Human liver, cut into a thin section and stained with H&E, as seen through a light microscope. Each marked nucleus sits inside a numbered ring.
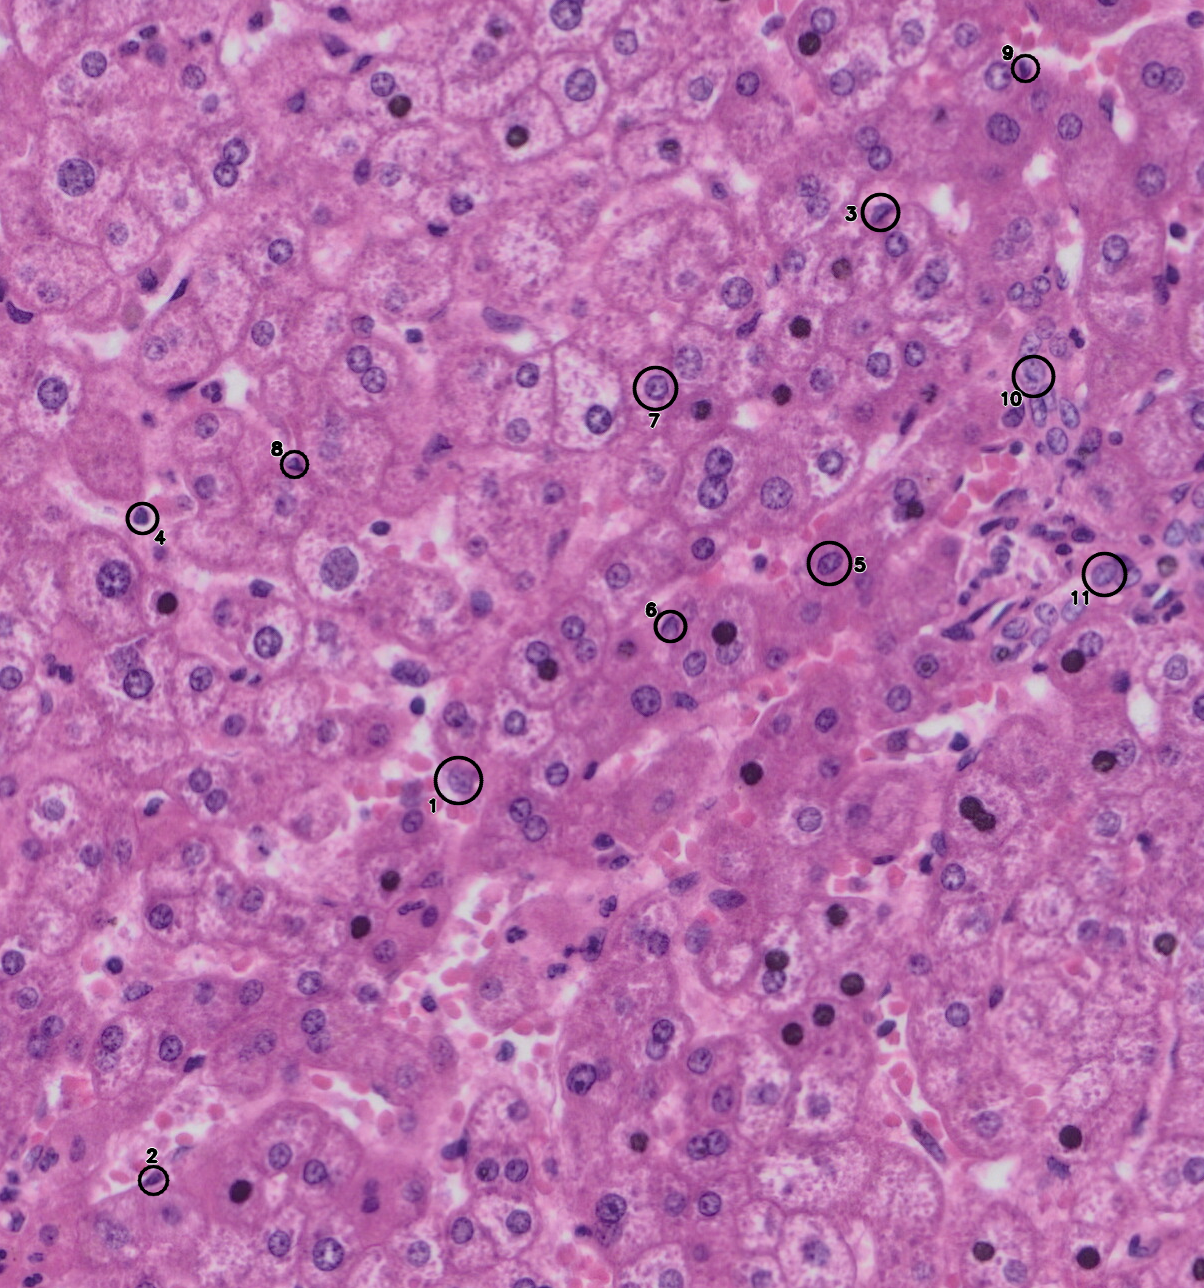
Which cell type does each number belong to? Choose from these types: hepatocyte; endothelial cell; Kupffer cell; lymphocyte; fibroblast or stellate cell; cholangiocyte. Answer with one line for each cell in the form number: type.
1: Kupffer cell
2: fibroblast or stellate cell
3: endothelial cell
4: lymphocyte
5: hepatocyte
6: fibroblast or stellate cell
7: hepatocyte
8: fibroblast or stellate cell
9: fibroblast or stellate cell
10: cholangiocyte
11: cholangiocyte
